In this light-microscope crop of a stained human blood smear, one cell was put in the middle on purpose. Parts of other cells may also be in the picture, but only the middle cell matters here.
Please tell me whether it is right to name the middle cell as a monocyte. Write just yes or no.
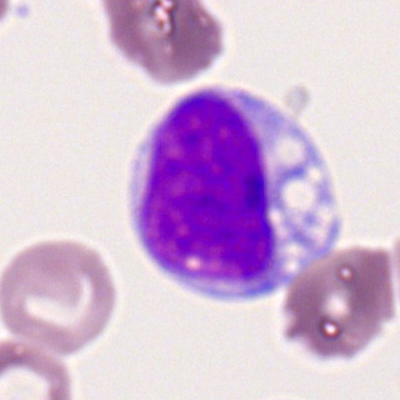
yes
